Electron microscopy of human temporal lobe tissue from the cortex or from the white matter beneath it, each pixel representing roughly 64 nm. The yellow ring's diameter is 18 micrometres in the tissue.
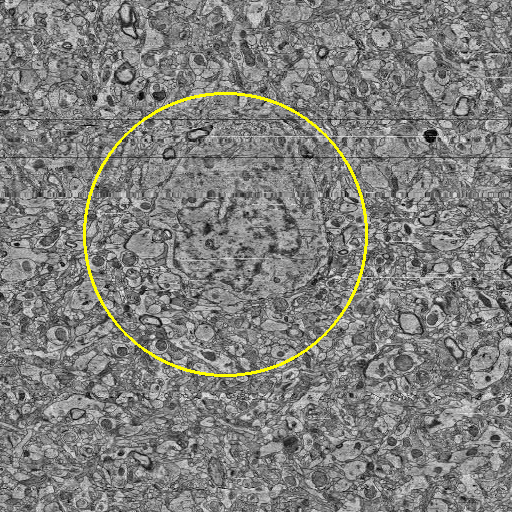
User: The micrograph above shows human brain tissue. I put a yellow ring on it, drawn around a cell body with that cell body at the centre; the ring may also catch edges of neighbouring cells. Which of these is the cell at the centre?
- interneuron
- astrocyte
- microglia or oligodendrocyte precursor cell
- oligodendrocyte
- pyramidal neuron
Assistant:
interneuron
